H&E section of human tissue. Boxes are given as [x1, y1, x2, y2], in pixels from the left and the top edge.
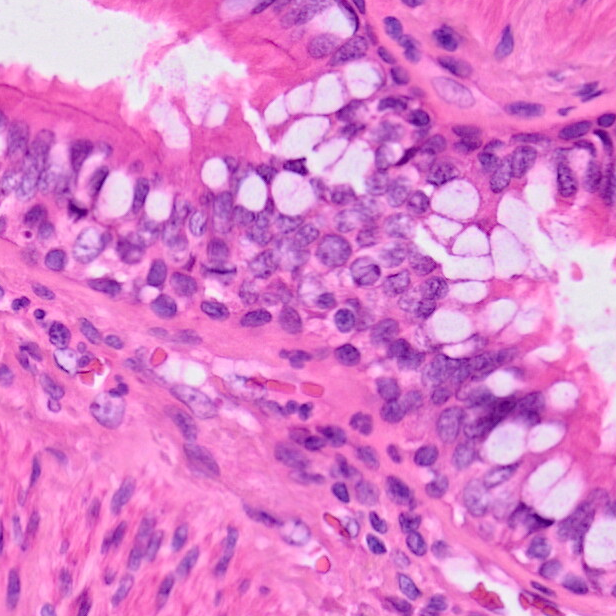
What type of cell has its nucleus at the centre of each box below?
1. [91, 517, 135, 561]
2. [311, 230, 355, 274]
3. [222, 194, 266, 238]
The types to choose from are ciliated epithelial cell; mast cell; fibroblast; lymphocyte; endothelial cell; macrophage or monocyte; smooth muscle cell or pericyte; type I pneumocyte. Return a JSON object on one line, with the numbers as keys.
{"1": "smooth muscle cell or pericyte", "2": "ciliated epithelial cell", "3": "ciliated epithelial cell"}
